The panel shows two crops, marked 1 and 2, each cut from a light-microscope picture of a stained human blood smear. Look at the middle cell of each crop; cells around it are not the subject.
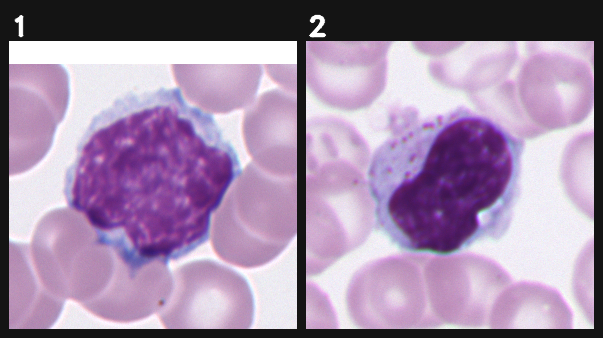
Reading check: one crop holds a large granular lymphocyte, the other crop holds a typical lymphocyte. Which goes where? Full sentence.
In crop 1, a typical lymphocyte is present; in crop 2, a large granular lymphocyte is present.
